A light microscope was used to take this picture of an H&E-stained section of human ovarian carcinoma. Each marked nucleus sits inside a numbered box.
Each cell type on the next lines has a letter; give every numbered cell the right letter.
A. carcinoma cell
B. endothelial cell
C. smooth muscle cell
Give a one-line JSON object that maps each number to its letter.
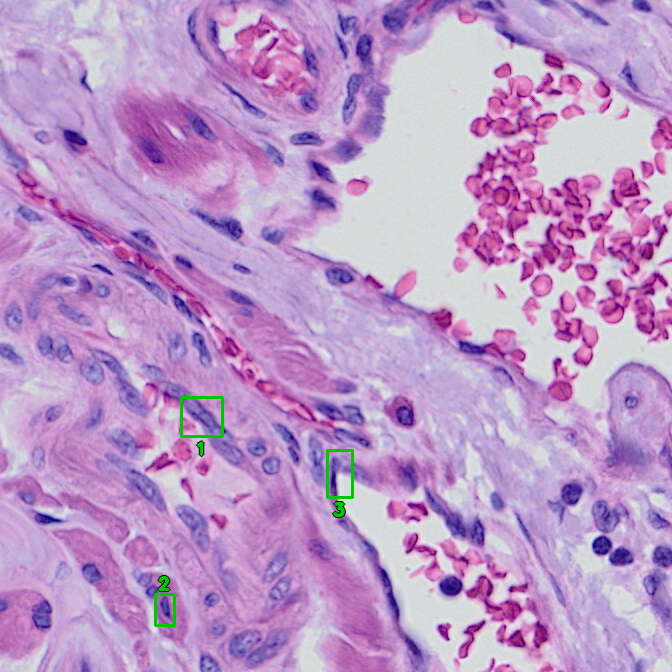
{"1": "B", "2": "C", "3": "B"}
